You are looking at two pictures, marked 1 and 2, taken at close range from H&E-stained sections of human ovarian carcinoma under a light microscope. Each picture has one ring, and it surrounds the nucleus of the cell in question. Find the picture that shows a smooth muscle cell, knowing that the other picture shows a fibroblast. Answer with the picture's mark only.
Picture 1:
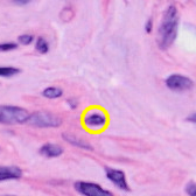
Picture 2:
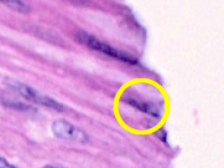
1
